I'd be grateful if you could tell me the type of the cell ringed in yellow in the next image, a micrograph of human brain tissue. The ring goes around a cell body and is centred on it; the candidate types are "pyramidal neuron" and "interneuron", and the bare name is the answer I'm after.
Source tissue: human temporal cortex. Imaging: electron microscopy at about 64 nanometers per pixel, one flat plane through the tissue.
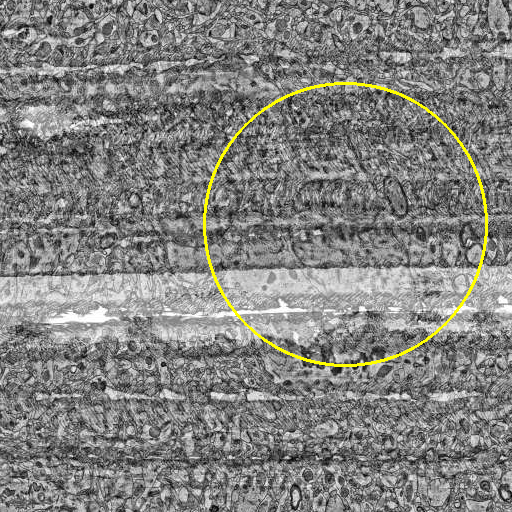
interneuron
